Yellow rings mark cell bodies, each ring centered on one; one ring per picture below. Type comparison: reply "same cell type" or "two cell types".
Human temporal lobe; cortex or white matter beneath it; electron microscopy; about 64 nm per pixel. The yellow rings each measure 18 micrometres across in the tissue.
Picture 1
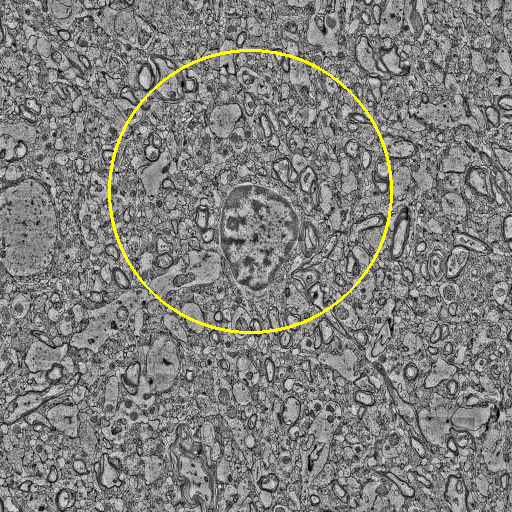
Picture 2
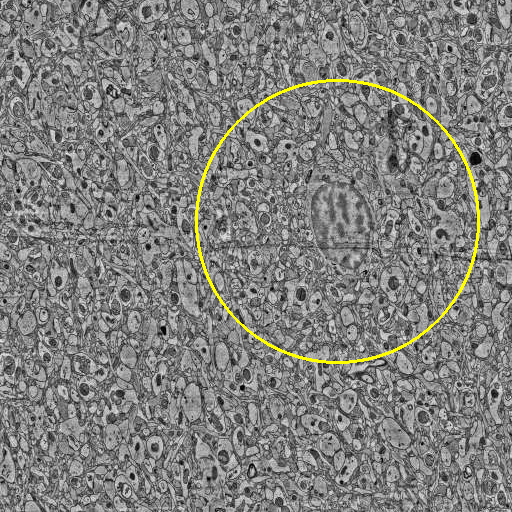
two cell types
